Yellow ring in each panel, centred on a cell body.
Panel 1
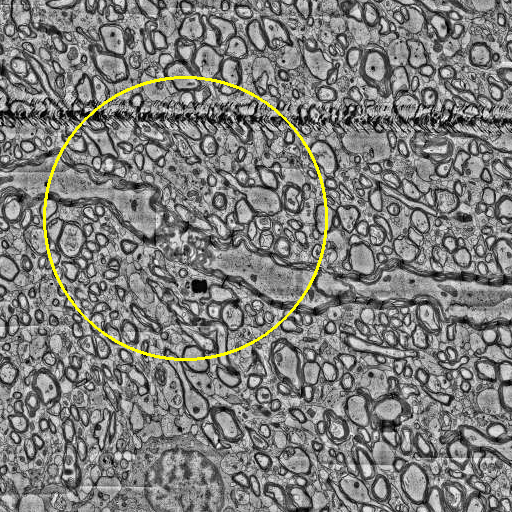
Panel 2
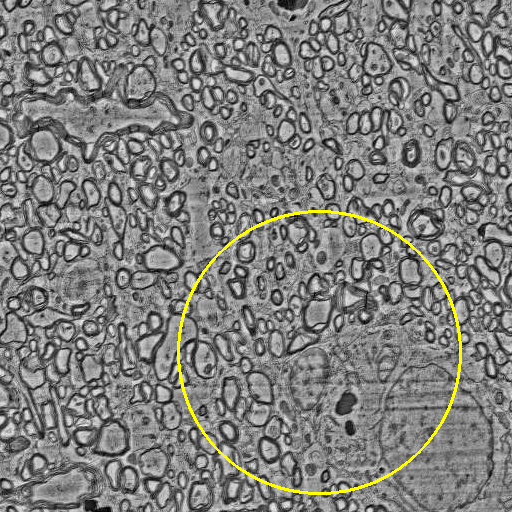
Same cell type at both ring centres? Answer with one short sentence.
Yes, both cells are of the same type.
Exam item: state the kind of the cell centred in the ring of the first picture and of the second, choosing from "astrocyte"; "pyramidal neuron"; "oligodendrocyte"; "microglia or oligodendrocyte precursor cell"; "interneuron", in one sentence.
The cell in the first picture is a microglial cell or oligodendrocyte precursor cell, and so is the one in the second.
